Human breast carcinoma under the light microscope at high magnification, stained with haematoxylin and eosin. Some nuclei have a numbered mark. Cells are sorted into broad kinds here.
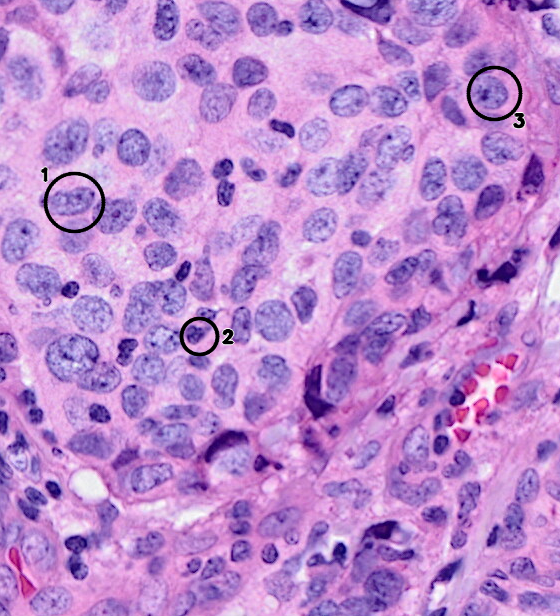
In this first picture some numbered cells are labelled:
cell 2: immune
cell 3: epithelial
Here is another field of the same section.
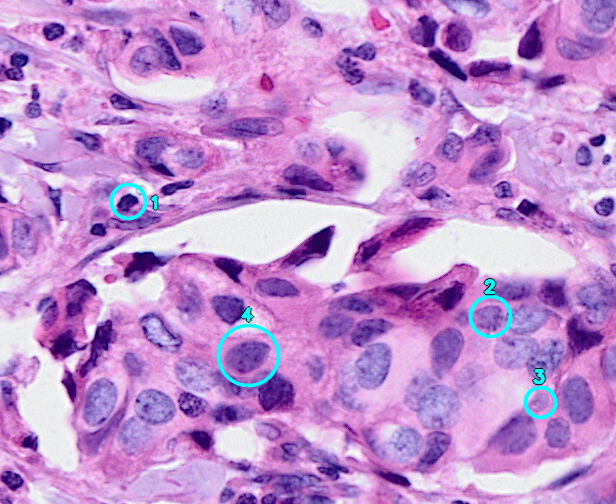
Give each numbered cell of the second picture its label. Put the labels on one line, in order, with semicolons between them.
immune; epithelial; epithelial; epithelial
